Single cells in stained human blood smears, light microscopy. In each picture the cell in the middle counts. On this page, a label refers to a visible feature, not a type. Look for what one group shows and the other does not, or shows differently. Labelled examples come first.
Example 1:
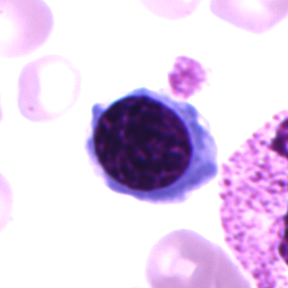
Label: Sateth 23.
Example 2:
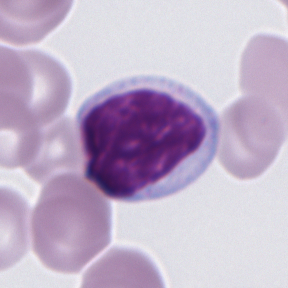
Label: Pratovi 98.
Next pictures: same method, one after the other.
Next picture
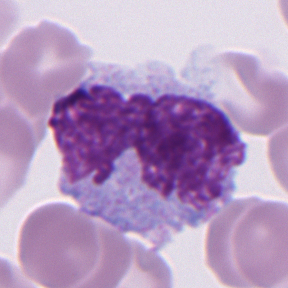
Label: Sateth 23.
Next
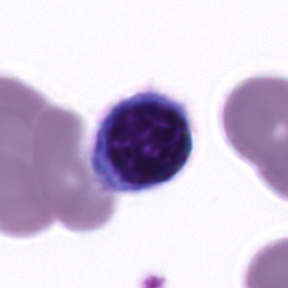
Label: Pratovi 98.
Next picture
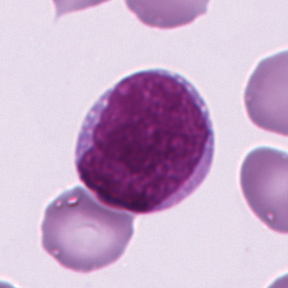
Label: Pratovi 98.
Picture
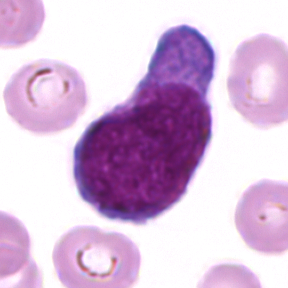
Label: Sateth 23.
